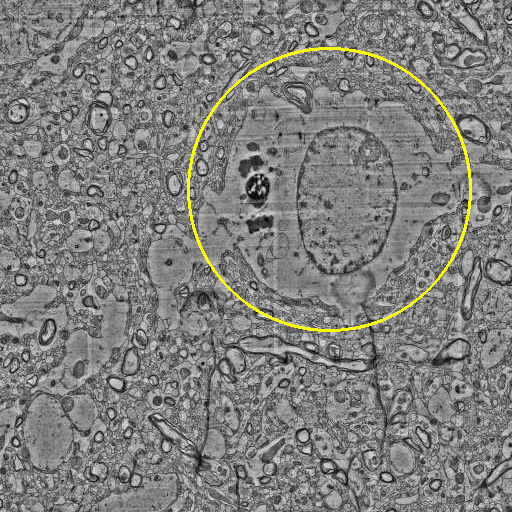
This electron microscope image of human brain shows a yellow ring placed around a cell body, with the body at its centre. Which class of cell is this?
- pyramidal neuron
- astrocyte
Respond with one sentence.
The cell body at the ring's centre is an astrocyte.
